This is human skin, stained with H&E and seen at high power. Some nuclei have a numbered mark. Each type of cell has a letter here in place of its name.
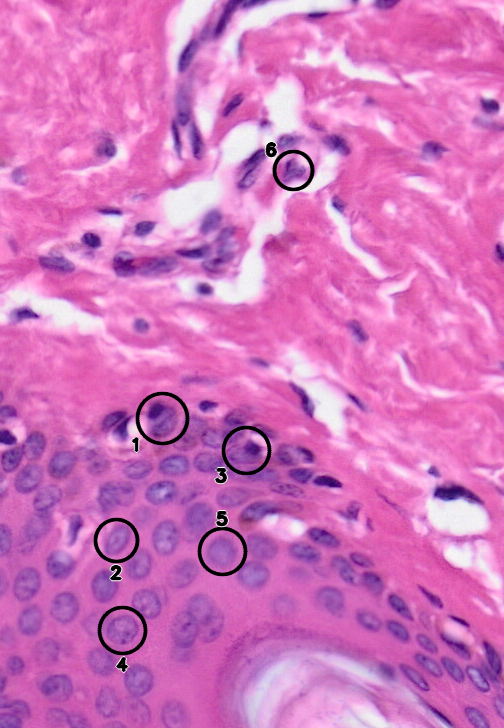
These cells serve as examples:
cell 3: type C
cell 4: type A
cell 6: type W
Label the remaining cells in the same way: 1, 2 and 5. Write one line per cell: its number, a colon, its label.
1: type C
2: type A
5: type A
